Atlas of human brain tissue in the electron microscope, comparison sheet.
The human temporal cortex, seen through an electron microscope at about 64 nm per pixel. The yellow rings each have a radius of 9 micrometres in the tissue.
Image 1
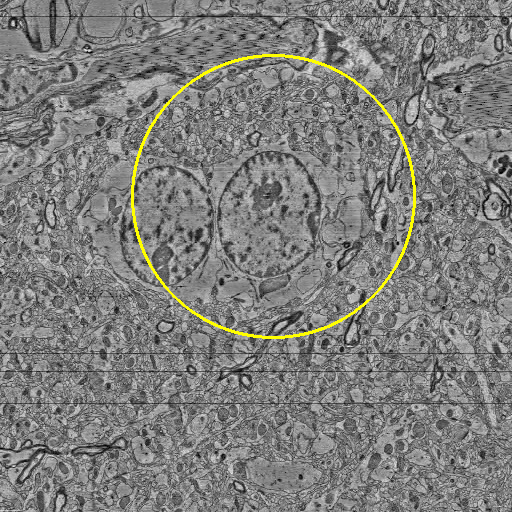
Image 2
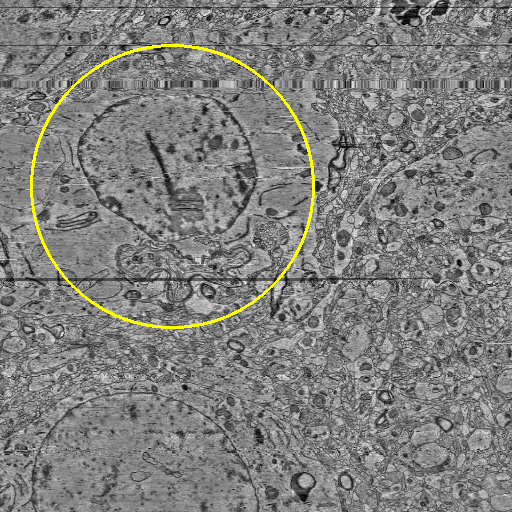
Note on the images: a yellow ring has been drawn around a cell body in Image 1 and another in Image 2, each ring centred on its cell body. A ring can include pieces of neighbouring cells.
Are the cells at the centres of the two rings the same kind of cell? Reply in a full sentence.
Yes, both cells are of the same kind.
